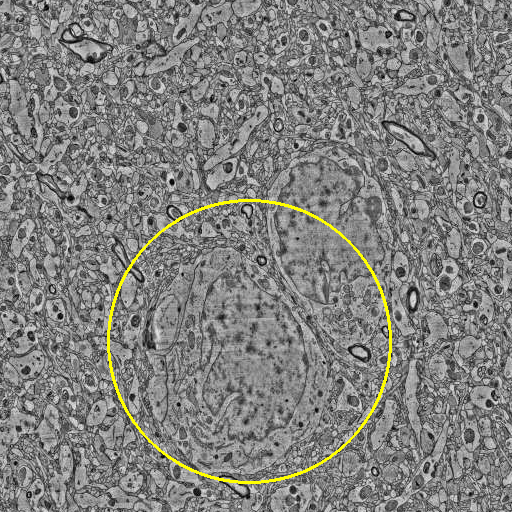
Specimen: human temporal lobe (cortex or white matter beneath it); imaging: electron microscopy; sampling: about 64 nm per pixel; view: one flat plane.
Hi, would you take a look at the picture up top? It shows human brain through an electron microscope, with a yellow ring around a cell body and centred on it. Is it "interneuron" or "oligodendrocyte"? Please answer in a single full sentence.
The best fit for the cell in the middle of the ring is an interneuron, I reckon.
